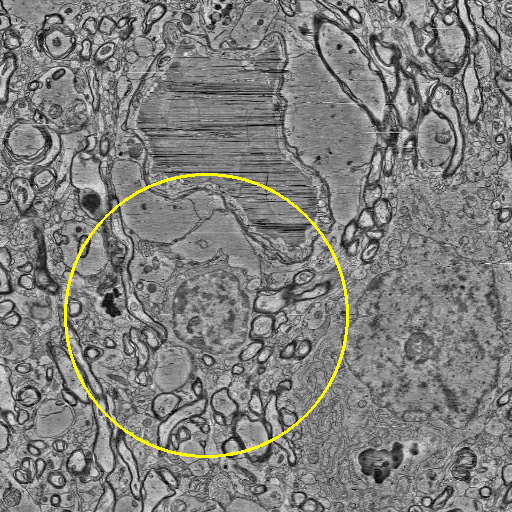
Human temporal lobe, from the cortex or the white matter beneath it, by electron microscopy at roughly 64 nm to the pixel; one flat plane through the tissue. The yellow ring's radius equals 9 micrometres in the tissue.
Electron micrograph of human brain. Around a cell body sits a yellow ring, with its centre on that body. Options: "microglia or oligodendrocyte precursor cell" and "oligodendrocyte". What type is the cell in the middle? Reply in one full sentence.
The cell sitting at the centre of the yellow ring is an oligodendrocyte.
